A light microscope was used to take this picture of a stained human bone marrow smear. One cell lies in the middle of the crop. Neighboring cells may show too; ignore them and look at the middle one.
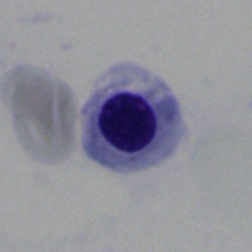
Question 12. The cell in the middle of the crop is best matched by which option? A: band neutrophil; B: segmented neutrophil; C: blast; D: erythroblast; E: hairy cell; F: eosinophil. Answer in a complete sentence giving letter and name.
The correct choice is option D, which identifies the middle cell as an erythroblast.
